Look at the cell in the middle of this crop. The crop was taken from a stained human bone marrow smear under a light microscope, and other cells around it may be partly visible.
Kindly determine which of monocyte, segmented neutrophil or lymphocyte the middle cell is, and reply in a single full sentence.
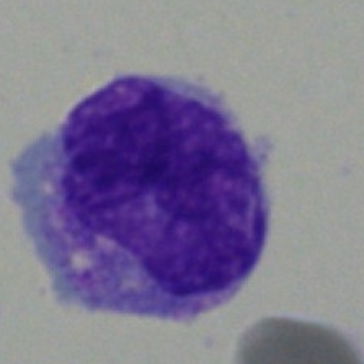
Centrally within this crop lies a monocyte.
